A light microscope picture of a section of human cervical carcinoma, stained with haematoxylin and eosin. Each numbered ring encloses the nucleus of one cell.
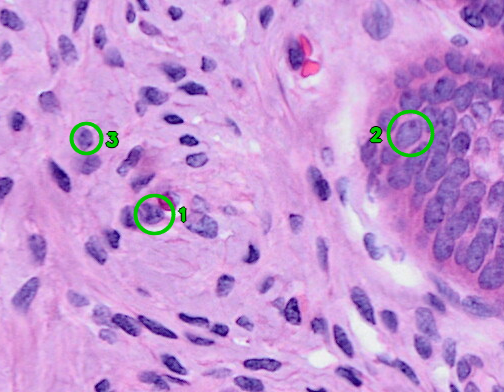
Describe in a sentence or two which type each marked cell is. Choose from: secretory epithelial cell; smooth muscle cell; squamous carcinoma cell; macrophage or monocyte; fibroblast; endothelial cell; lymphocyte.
Cell 1 is an endothelial cell. Cell 2 is a secretory epithelial cell. Cell 3 is a fibroblast.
